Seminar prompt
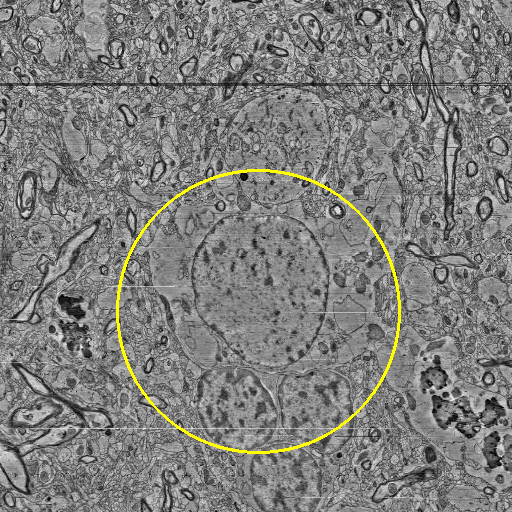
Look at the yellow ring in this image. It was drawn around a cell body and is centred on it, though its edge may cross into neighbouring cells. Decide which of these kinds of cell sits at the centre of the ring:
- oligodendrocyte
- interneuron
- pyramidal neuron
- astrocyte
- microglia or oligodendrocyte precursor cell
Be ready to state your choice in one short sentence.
The kind of cell at the ring's centre is an astrocyte.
